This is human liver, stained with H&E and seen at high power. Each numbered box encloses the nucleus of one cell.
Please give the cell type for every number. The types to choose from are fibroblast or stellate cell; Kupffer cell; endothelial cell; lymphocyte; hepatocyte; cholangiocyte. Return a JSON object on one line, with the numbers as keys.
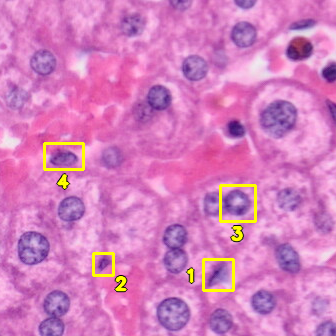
{"1": "endothelial cell", "2": "fibroblast or stellate cell", "3": "hepatocyte", "4": "endothelial cell"}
